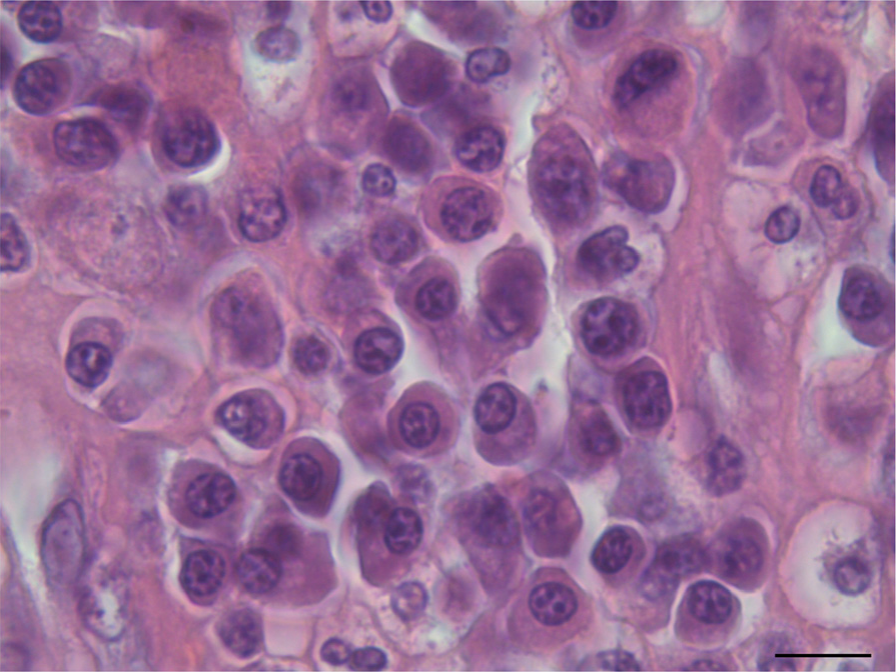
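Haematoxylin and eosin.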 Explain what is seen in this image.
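Tumour cells lie in loose sheets, many separated by clear spaces, with no organised tissue pattern. The cells are round to polygonal and have a fair amount of pink to lilac cytoplasm. Some nuclei lie in the centre of the cell and others are pushed to one side. The nuclei differ clearly in size and shape from cell to cell. Their chromatin is clumped and coarse, and several nuclei show distinct dark nucleoli. Here and there between the cells are pale, vacuolated cells and strands of pink fibrillary material.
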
